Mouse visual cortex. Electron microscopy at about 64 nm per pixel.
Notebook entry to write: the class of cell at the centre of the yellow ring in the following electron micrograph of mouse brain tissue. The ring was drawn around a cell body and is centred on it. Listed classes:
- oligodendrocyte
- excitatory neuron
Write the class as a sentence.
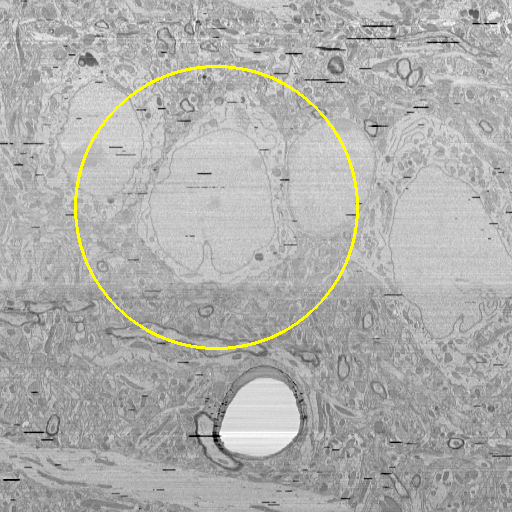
The yellow ring sits on an excitatory neuron.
